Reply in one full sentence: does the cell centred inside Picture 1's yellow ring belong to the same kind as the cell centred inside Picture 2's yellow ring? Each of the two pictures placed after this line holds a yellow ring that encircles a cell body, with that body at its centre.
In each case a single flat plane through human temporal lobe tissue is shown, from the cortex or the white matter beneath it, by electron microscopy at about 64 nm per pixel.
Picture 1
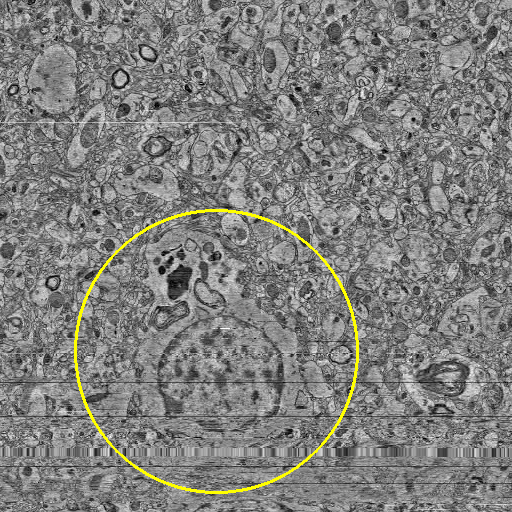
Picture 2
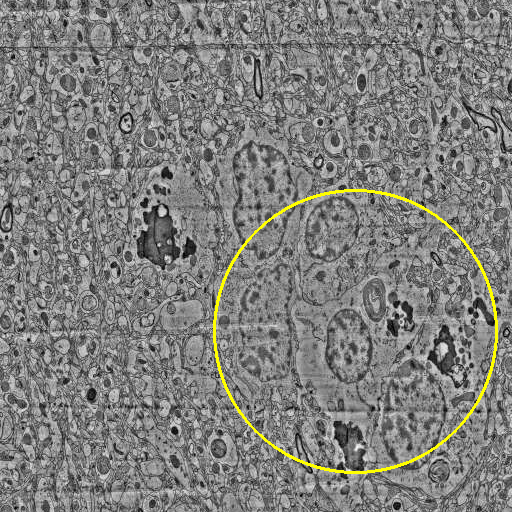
Yes, the ring-centred cells in Picture 1 and Picture 2 are of one and the same kind.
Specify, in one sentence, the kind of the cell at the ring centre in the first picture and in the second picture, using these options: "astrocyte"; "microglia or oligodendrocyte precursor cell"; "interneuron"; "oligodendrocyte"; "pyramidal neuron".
Both rings mark an astrocyte, one in each picture.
